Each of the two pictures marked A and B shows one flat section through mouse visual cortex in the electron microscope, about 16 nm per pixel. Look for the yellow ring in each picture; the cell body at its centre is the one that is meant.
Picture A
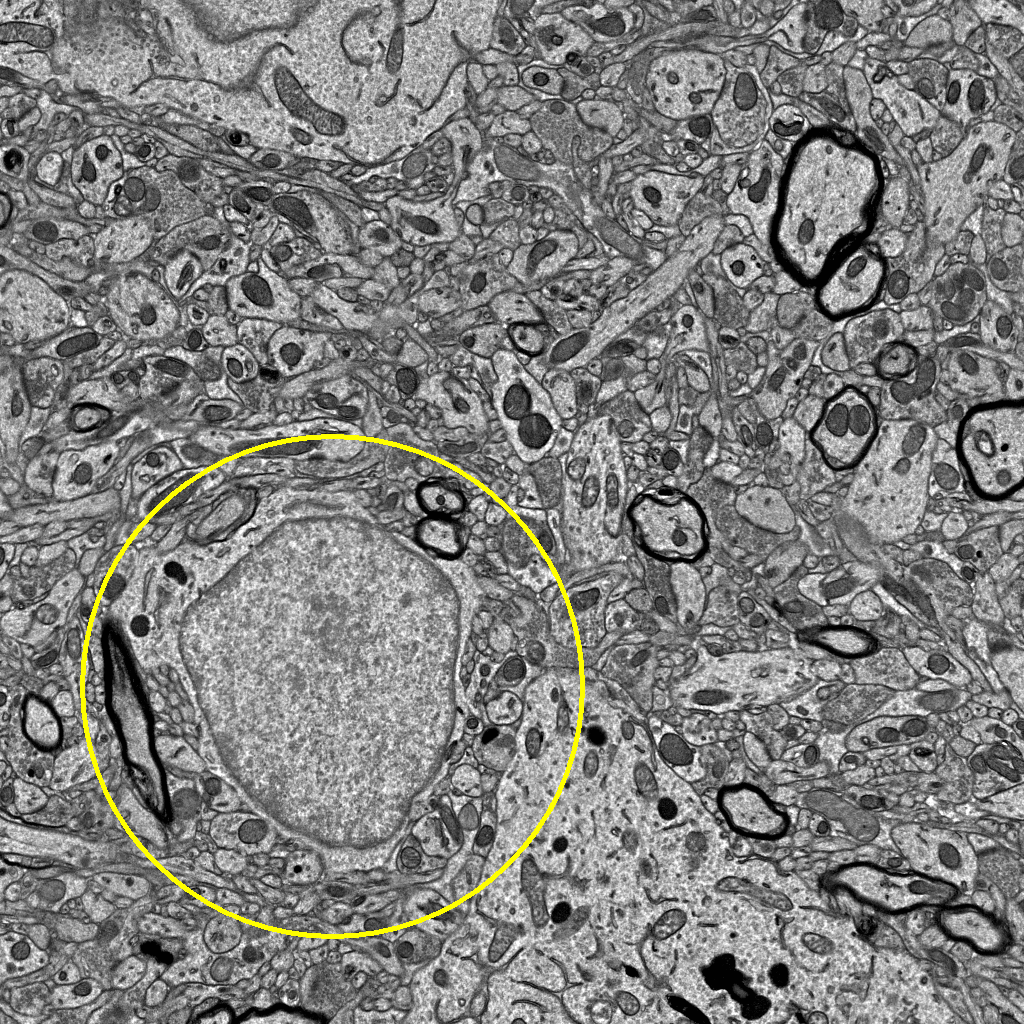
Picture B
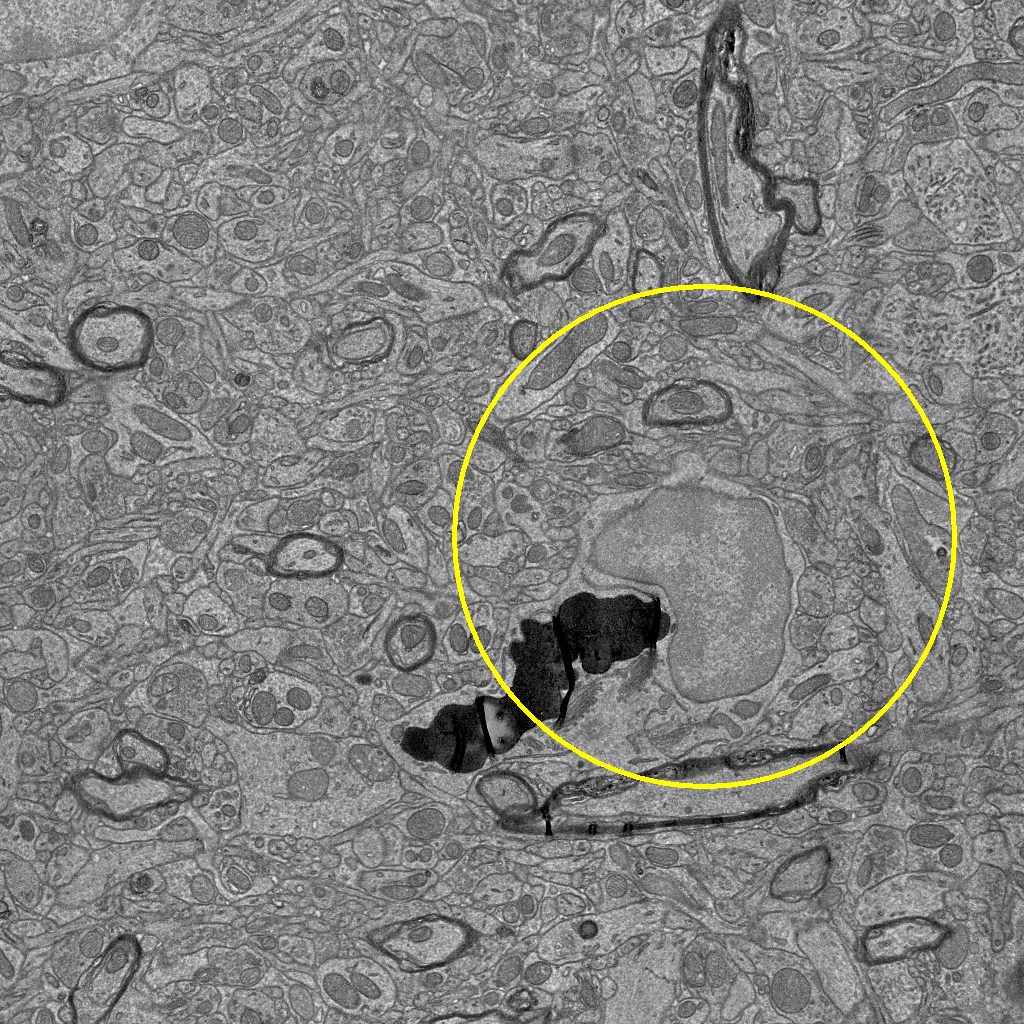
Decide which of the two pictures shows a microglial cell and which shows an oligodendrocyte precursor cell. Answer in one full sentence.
In picture A the cell is an oligodendrocyte precursor cell; in picture B, a microglial cell.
